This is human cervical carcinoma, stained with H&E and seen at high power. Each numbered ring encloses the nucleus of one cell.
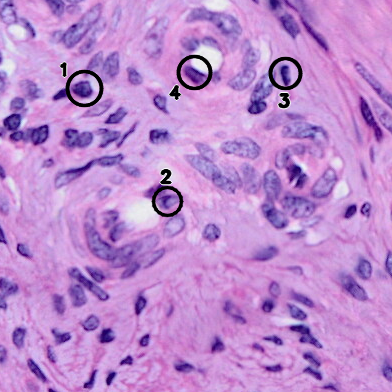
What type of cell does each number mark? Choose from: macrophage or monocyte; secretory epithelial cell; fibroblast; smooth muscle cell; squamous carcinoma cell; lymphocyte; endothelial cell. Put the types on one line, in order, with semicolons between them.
lymphocyte; endothelial cell; lymphocyte; endothelial cell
